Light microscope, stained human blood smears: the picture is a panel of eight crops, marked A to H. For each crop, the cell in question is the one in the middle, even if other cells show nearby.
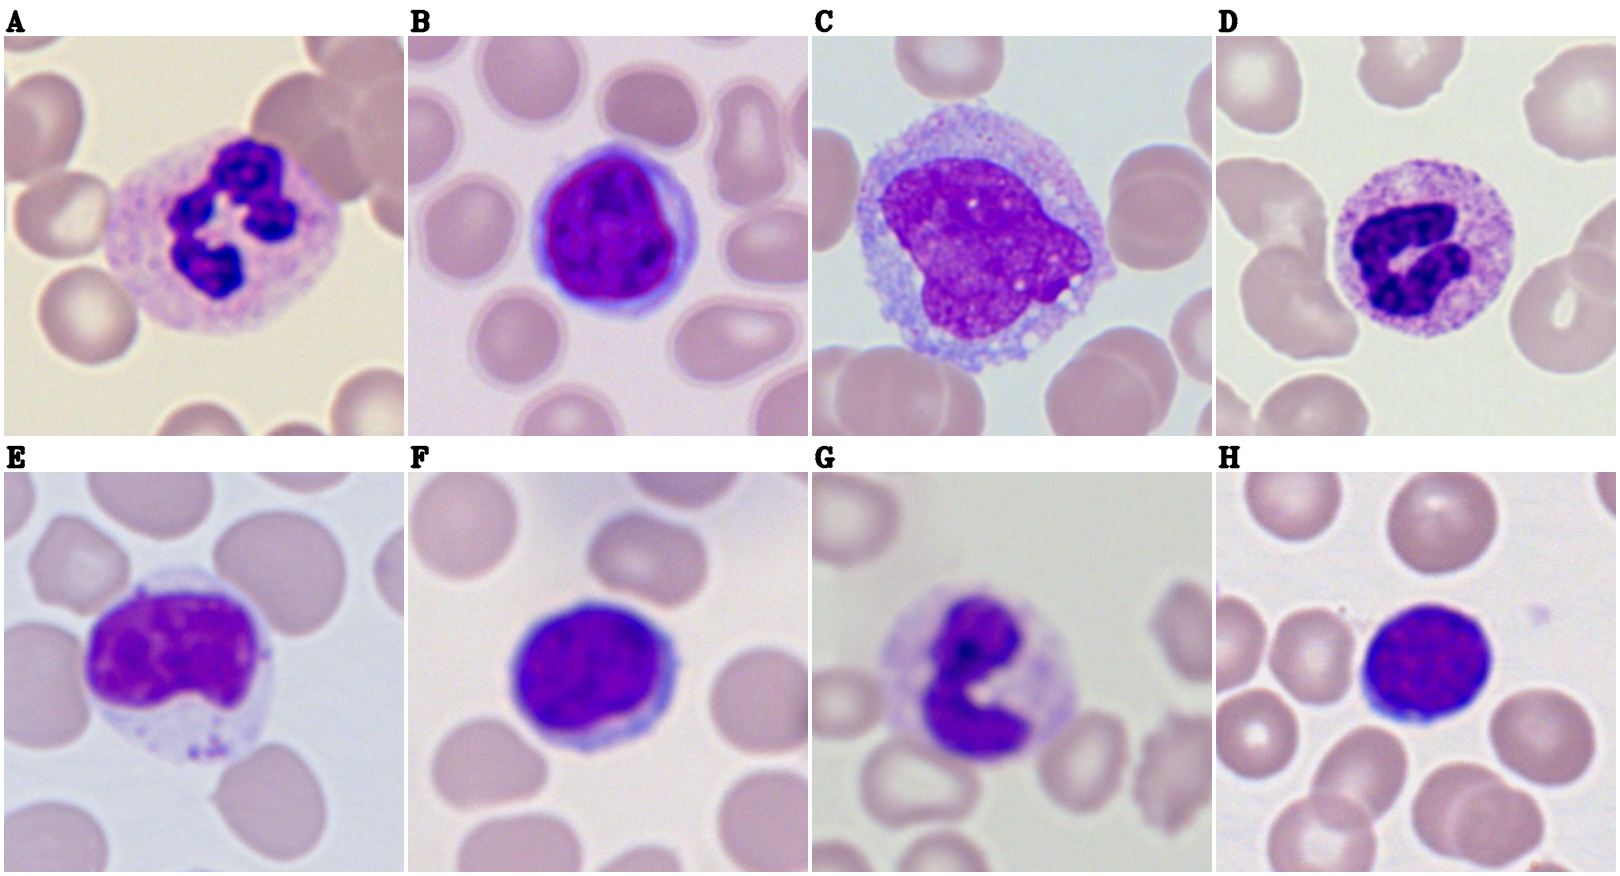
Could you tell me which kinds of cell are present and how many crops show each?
lymphocyte: 4
segmented neutrophil: 3
monocyte: 1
